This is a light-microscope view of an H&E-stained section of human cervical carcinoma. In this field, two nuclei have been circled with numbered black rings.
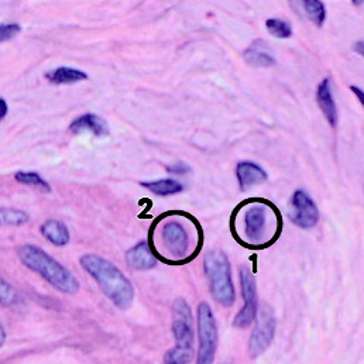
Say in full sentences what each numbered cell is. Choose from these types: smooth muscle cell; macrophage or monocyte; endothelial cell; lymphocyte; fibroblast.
Cell 1 is a fibroblast. Cell 2 is a smooth muscle cell.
